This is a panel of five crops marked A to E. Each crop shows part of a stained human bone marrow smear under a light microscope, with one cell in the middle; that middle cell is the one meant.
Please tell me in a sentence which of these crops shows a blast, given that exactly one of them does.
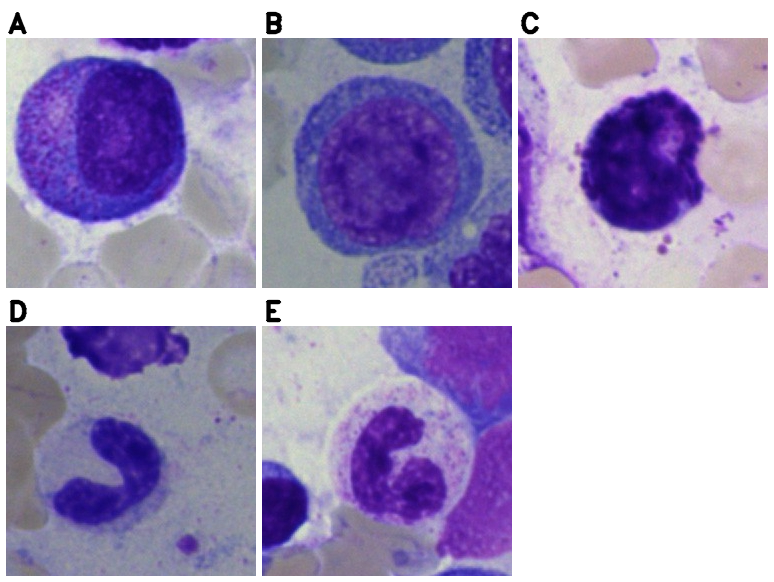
Crop B is the single crop that shows a blast.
